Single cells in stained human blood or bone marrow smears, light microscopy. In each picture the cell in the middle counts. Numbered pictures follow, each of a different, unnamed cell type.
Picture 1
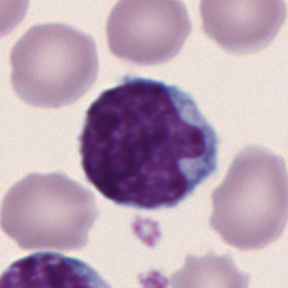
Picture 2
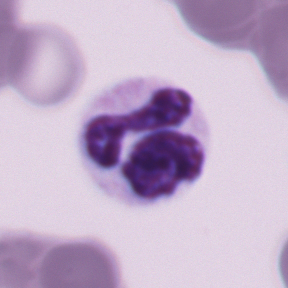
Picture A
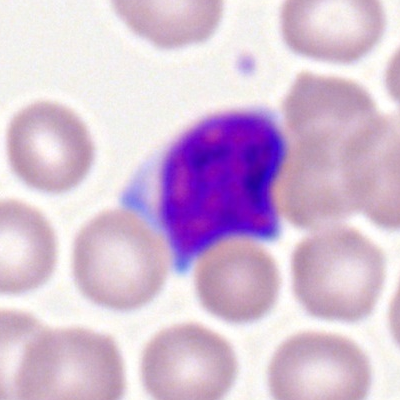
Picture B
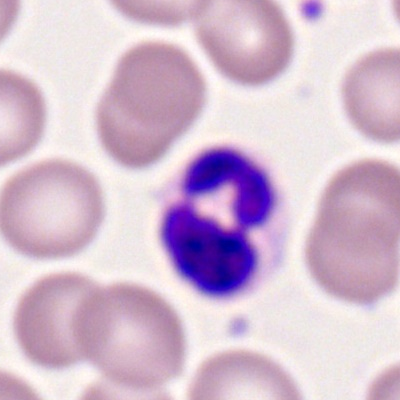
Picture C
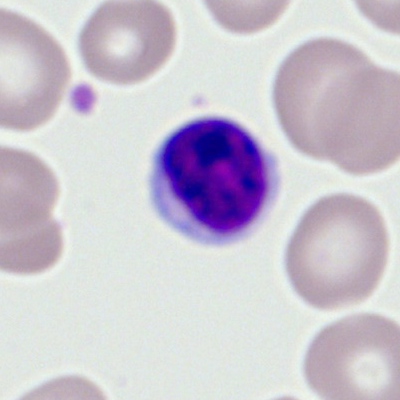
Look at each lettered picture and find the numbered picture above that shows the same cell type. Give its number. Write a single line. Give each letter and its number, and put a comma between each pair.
A 1, B 2, C 1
